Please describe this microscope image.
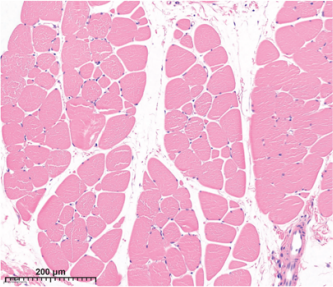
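Skeletal muscle cut across, showing closely packed polygonal pink fibers grouped into bundles. The bundles are separated by pale, loose connective tissue septa, and small dark nuclei lie at the fiber margins.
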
